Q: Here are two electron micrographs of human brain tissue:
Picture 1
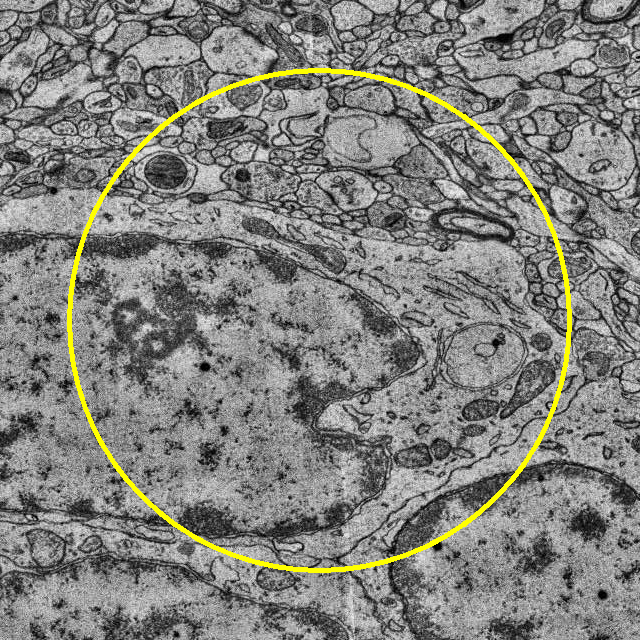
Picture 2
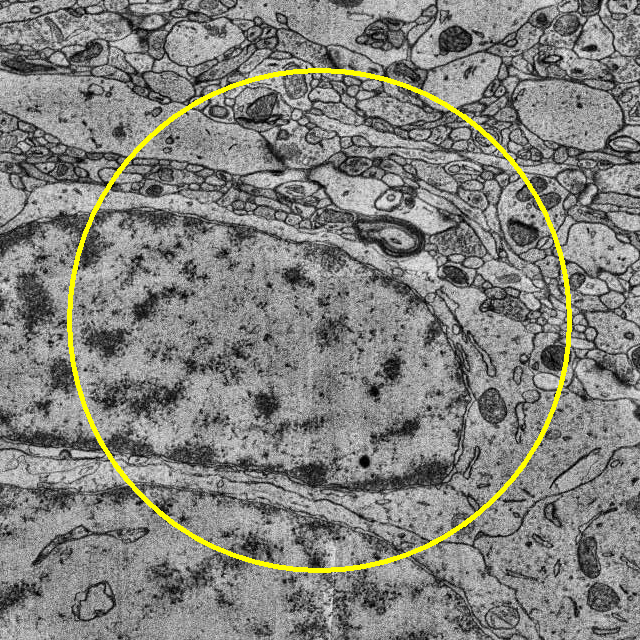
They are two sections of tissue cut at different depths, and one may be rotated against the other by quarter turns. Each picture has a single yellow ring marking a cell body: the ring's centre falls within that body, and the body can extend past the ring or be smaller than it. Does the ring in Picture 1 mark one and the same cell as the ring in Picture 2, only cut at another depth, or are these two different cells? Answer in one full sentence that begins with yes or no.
Yes, the two rings mark one cell and not separate cells.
